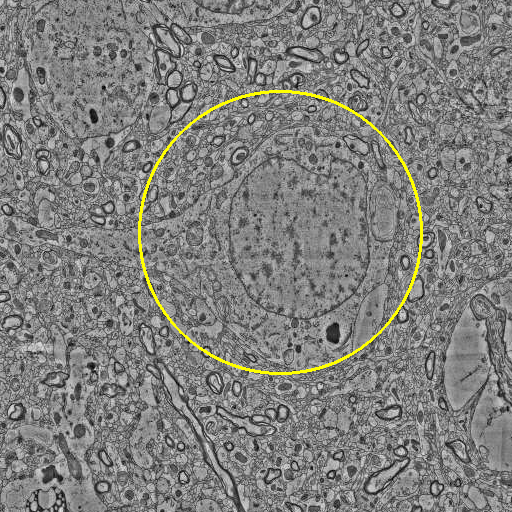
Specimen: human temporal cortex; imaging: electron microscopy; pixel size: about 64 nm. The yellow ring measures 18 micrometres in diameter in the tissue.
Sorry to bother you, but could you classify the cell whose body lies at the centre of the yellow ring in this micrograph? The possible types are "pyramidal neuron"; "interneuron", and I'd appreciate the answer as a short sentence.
The ringed cell body is that of a pyramidal neuron.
